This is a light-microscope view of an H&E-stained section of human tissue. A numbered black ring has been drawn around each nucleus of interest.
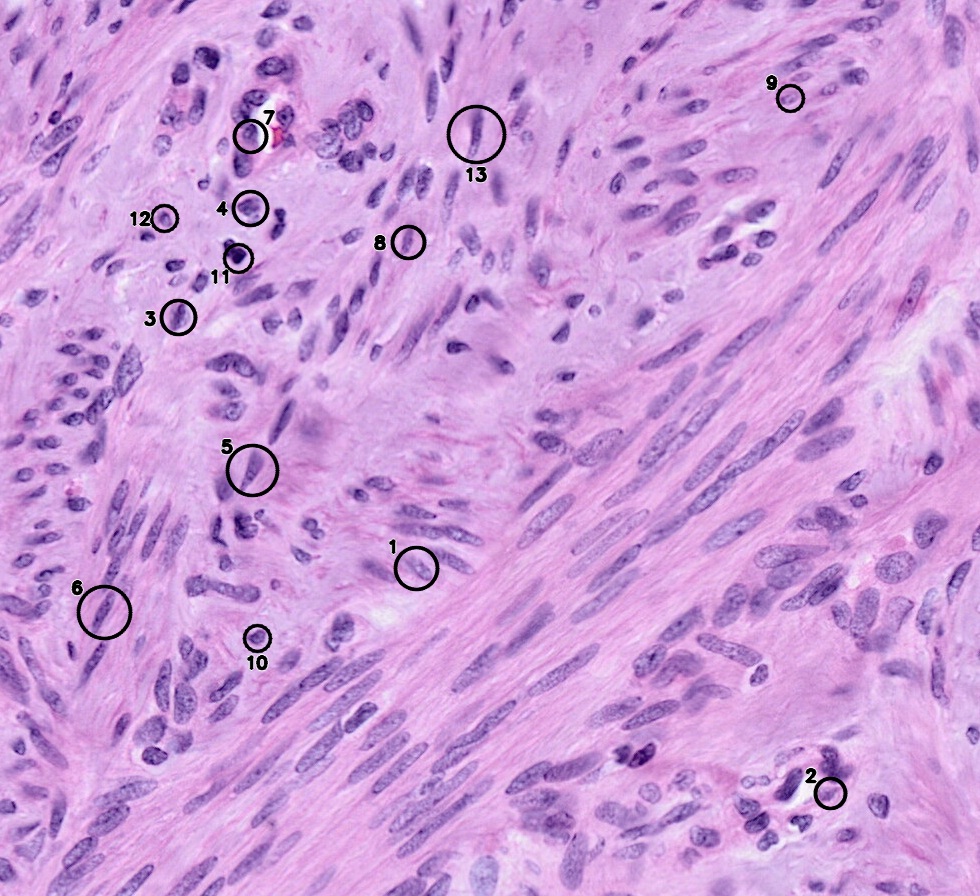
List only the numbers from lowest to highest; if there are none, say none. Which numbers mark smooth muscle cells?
1, 6, 8, 9, 10, 12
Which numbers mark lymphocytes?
11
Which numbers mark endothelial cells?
2, 7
